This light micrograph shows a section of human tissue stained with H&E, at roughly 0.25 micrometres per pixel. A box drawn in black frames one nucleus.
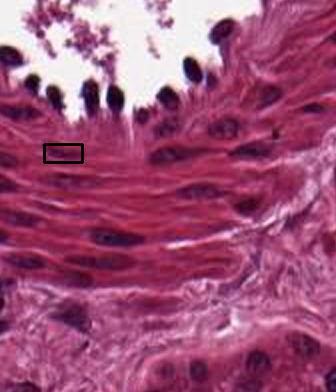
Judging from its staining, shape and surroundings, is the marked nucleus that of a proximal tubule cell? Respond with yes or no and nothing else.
no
